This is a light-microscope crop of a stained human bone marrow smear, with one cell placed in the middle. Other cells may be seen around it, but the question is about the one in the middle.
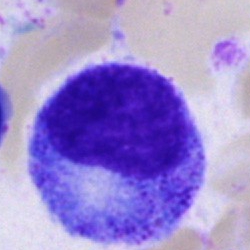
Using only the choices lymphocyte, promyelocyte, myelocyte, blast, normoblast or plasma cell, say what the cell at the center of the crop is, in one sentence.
For this crop, the cell in the middle is a promyelocyte.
